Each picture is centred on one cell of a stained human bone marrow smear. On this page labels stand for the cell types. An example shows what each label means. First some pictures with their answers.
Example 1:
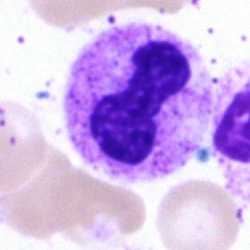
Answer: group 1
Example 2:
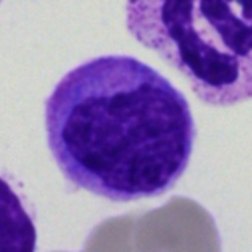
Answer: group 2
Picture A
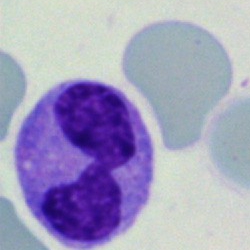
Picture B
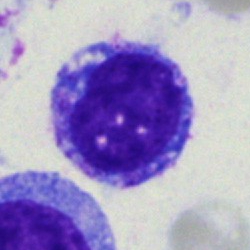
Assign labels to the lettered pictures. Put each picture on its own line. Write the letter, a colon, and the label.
A: group 2
B: group 2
